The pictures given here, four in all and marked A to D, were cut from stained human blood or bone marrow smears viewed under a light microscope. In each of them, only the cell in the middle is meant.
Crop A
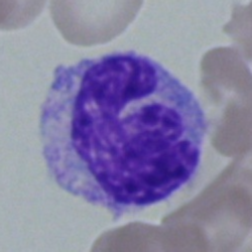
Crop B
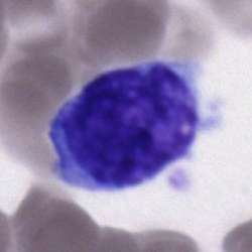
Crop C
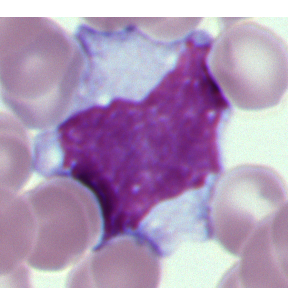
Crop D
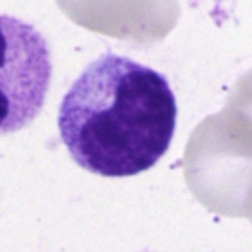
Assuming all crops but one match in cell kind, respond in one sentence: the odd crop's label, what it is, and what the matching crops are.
Crop D breaks the pattern with a metamyelocyte; all the others show monocytes.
